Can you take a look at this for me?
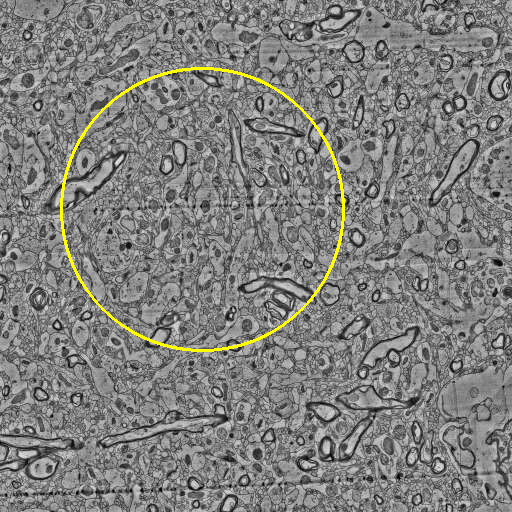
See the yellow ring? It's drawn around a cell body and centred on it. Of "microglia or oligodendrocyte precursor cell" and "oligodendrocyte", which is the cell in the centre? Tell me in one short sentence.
The one in the centre is an oligodendrocyte.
